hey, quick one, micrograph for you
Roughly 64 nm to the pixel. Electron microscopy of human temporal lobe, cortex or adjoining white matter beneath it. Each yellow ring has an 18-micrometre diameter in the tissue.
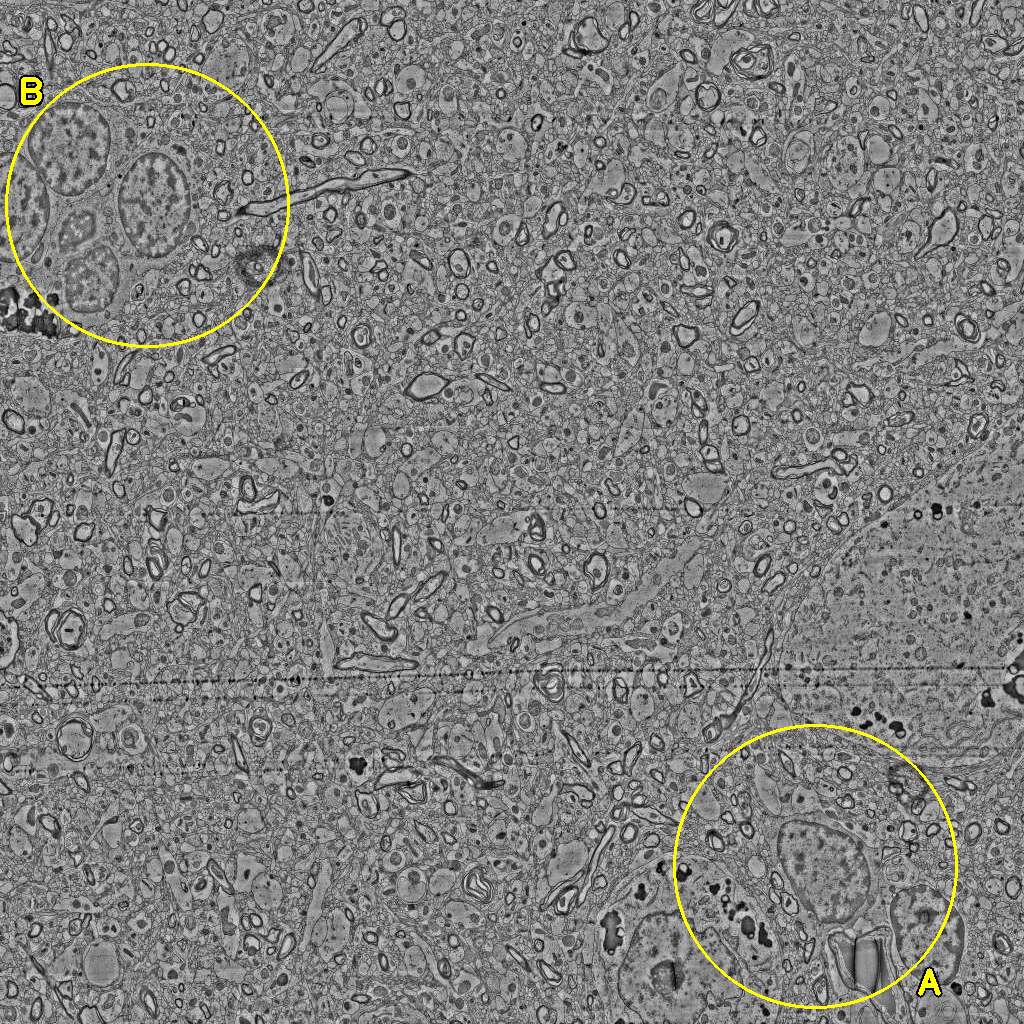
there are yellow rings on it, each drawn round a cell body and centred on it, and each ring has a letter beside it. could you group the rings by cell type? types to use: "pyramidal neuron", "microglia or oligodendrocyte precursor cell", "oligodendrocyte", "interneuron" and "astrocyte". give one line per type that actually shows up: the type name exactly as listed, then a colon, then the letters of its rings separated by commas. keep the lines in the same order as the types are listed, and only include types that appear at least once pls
oligodendrocyte: A, B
